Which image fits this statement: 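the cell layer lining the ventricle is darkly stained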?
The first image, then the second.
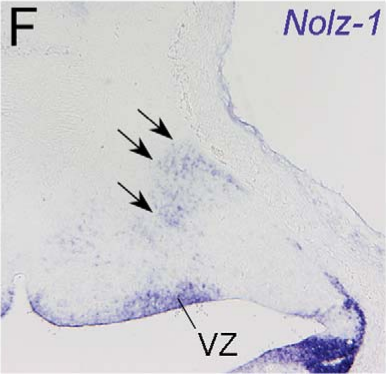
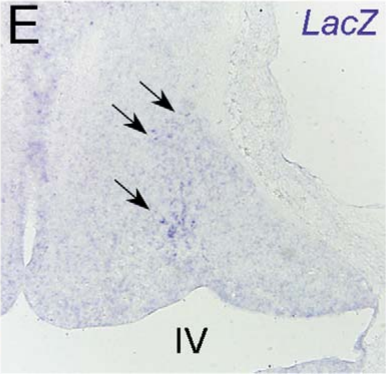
The first image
